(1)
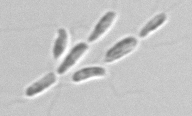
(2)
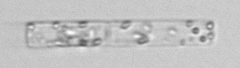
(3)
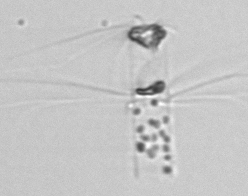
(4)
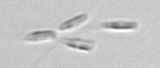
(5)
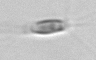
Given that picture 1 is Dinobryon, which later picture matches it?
4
